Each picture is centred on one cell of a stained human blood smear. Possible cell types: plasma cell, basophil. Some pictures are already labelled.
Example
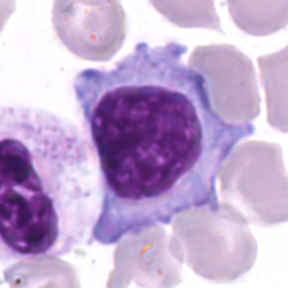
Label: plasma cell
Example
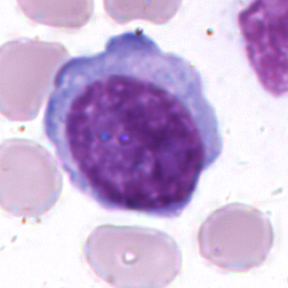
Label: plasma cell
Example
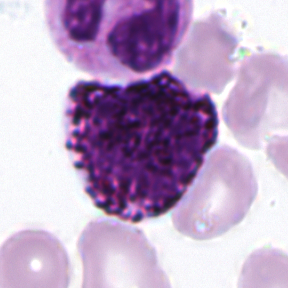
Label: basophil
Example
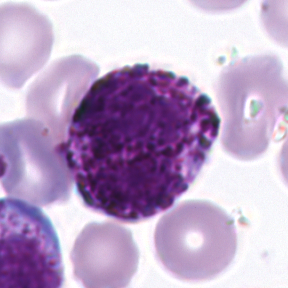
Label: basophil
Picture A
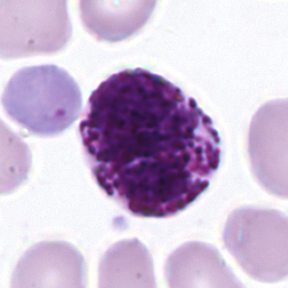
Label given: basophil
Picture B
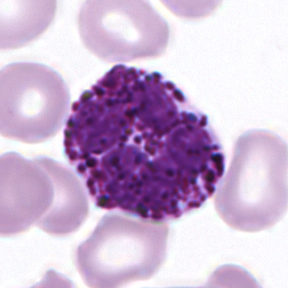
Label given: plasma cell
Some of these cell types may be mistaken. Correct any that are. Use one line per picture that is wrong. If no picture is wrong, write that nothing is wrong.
B is labelled plasma cell; correct label: basophil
